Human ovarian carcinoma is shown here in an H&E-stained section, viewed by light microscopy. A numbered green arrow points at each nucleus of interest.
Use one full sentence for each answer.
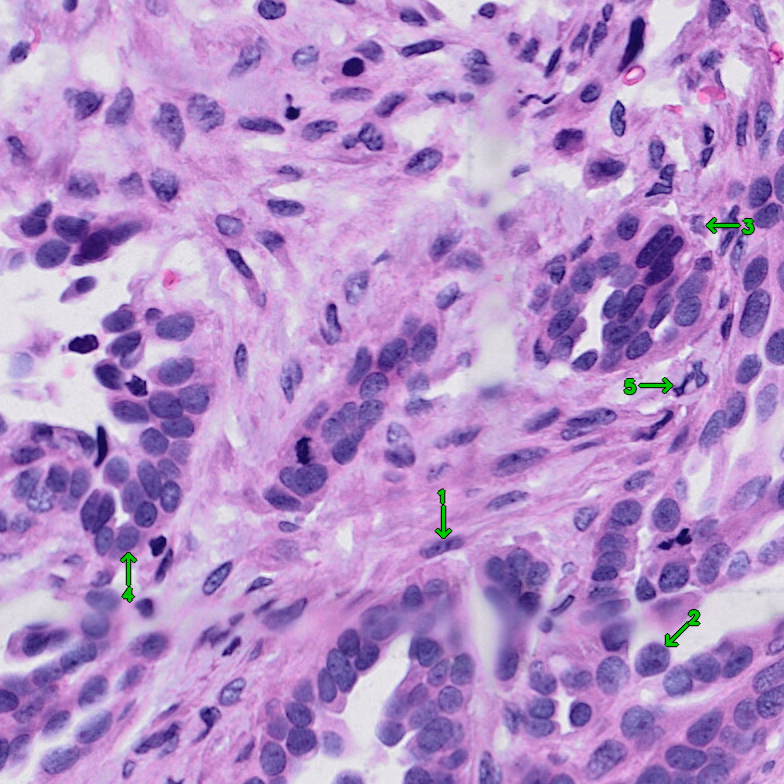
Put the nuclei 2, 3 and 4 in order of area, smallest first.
The order from the smallest nucleus to the largest is 3, 4, 2.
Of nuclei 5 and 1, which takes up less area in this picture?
Number 5 is smaller, since number 1 takes up about 2.5 times as much area.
